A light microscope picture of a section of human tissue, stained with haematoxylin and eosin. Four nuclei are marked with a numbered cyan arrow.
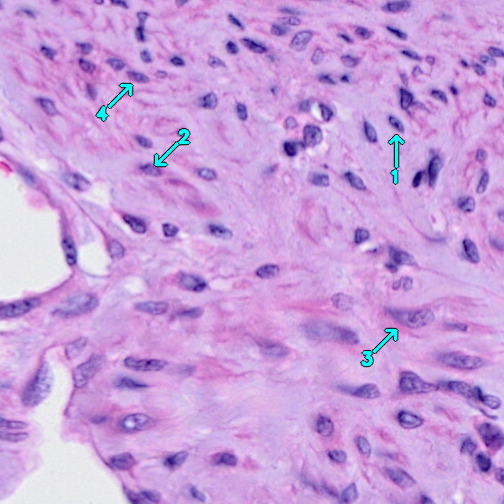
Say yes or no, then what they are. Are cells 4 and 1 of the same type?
No, cell 4 is a smooth muscle cell, while a fibroblast is what cell 1 is.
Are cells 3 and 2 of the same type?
Yes, by cell type, cells 3 and 2 are both smooth muscle cells.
